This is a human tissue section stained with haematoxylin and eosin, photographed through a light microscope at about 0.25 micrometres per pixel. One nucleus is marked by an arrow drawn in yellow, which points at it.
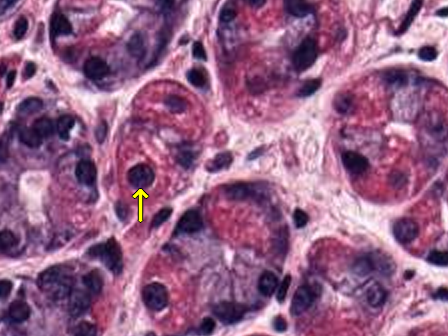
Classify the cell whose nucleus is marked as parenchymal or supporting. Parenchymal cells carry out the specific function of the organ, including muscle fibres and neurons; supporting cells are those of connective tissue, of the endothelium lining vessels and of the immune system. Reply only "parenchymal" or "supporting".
parenchymal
